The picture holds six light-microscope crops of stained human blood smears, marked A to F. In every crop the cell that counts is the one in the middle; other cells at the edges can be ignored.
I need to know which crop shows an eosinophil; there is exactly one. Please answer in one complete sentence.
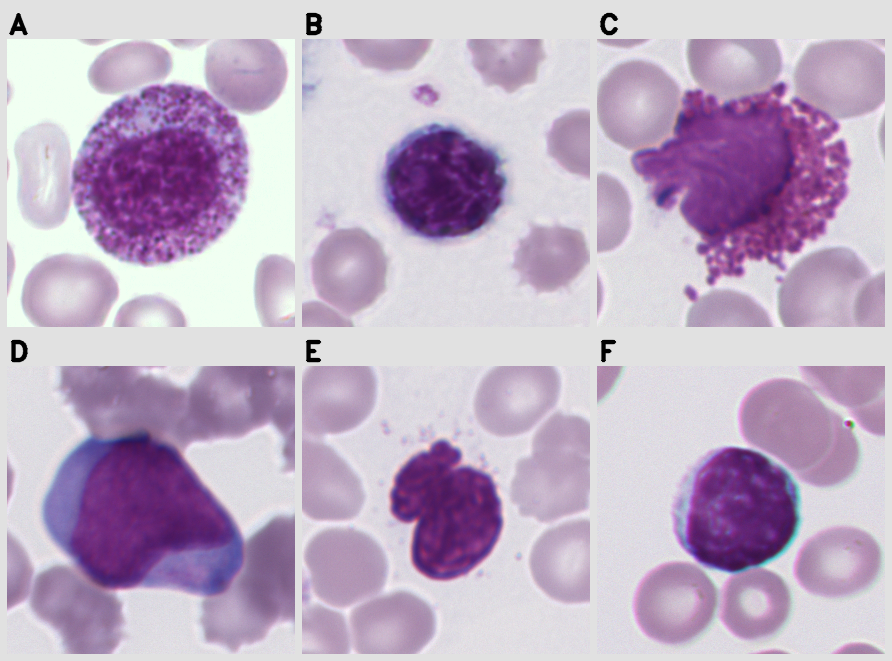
Among these crops, crop C holds an eosinophil.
